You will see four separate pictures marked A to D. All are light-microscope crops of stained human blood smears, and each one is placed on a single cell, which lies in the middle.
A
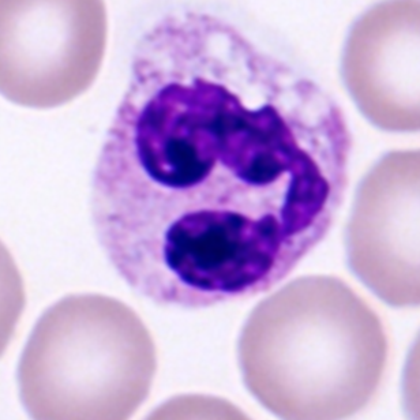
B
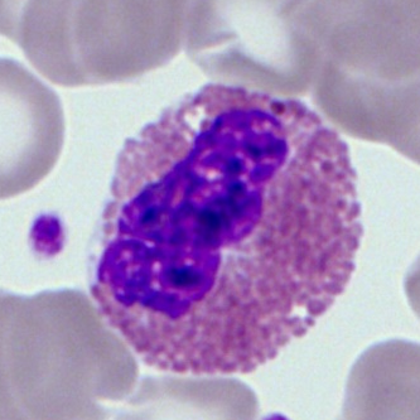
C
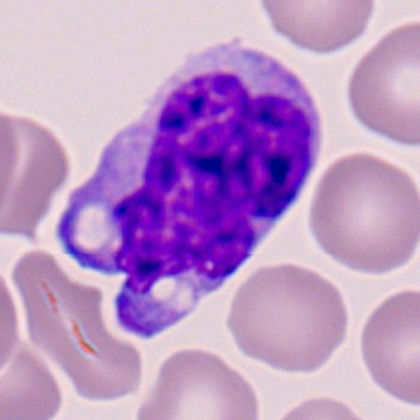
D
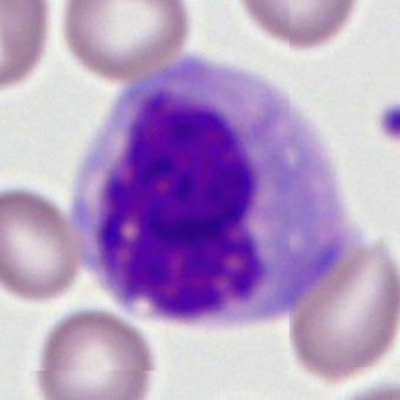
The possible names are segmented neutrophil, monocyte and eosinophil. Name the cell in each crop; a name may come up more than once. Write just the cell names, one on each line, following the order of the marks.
segmented neutrophil
eosinophil
monocyte
monocyte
